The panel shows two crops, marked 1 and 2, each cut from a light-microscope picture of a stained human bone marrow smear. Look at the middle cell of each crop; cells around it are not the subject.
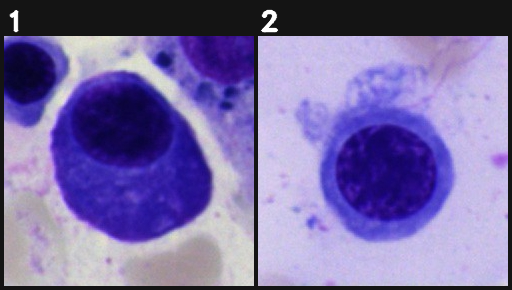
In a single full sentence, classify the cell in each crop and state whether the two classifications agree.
No, crop 1 offers a plasma cell, while crop 2 offers a normoblast.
